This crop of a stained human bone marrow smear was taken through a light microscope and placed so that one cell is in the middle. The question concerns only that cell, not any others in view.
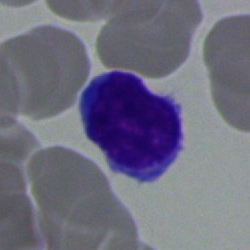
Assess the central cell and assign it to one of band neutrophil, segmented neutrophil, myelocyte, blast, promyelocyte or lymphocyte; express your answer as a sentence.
Of the cells in this crop, the central one is a lymphocyte.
